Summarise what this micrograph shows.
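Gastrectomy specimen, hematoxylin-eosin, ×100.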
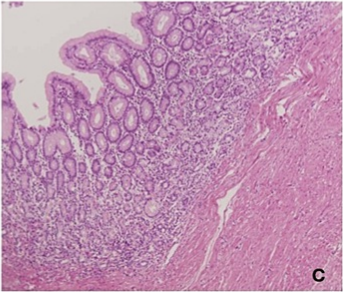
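A section of the gastric wall with the mucosa at the upper left. The crypts there are lined by columnar epithelium and lie in a lamina propria that is crowded with small purple inflammatory cells. To the right lie pink bands of fibrous tissue and smooth muscle.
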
